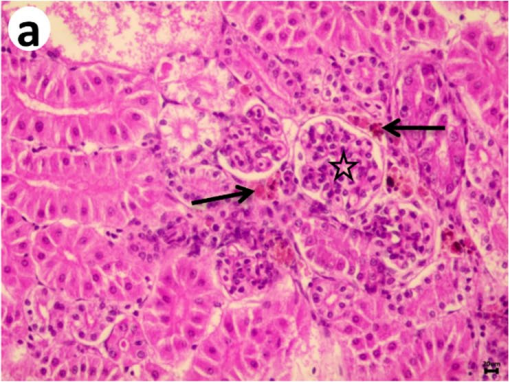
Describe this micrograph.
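Kidney tissue with renal tubules, renal corpuscles and interstitium is shown. Tubules are lined by tall pink-cytoplasm epithelial cells with round central nuclei arranged around small lumens. Several renal corpuscles appear as round bodies containing a dense purple tuft of nuclei surrounded by a thin capsule; one corpuscle has a tuft nearly filling its capsule. Between the corpuscles, the interstitium contains crowded small dark nuclei, and scattered clusters of brown to reddish-brown pigmented cells lie beside the corpuscles. At the top left, a pale lumen contains loose pink material and cells.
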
